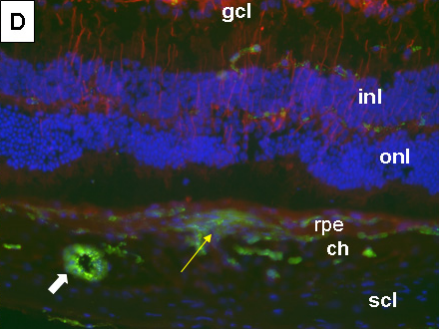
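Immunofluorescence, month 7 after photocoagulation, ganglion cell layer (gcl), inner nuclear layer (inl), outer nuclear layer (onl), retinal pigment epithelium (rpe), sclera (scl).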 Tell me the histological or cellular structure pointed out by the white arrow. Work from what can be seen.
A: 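It lies in the layer beneath the retina.
Answer: vessels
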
